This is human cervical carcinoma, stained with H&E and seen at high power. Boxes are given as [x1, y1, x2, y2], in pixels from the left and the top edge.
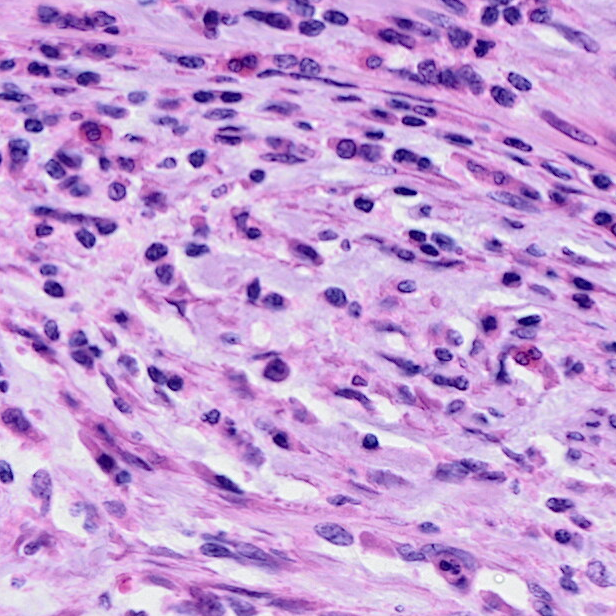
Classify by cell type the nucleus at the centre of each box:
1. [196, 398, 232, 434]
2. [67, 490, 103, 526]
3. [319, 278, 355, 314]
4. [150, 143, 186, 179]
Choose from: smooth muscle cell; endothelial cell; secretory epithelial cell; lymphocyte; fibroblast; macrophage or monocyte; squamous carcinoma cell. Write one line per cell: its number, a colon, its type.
1: lymphocyte
2: fibroblast
3: lymphocyte
4: lymphocyte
